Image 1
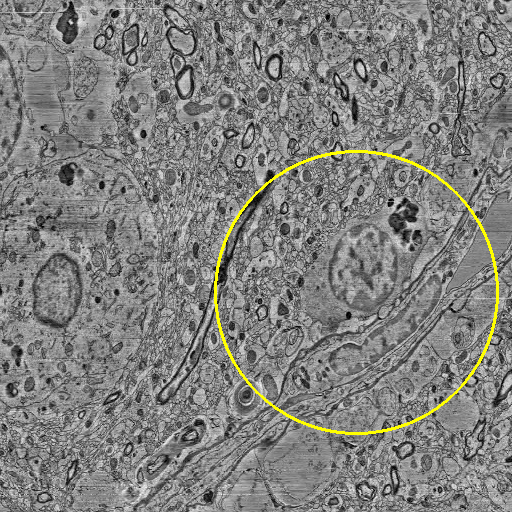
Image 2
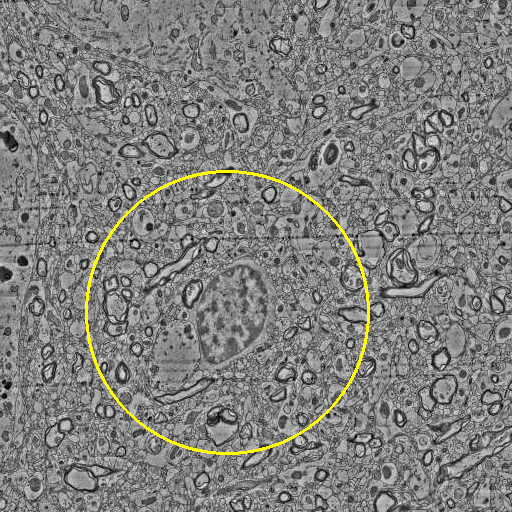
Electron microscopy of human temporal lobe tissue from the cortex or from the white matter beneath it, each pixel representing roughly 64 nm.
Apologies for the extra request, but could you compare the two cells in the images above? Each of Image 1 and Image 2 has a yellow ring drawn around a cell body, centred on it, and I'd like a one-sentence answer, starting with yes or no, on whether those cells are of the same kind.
Yes, both cells are of the same kind.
